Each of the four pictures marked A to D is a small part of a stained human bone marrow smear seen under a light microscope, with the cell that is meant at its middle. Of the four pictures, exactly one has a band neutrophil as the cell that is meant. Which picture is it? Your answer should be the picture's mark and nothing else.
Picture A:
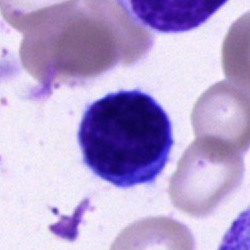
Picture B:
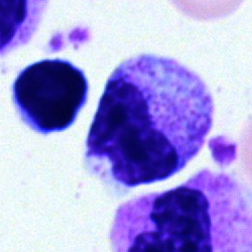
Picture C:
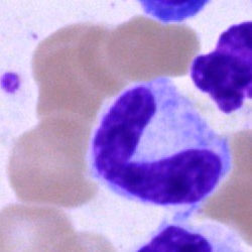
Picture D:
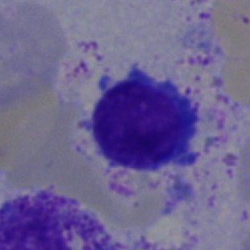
C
